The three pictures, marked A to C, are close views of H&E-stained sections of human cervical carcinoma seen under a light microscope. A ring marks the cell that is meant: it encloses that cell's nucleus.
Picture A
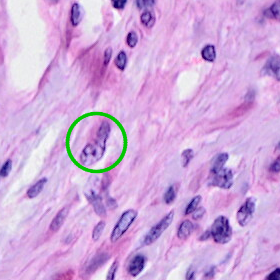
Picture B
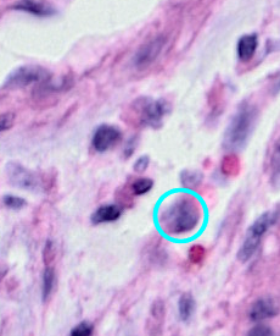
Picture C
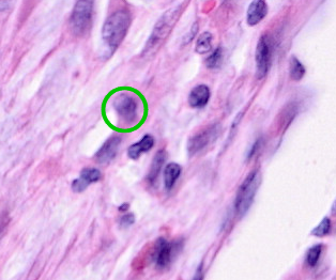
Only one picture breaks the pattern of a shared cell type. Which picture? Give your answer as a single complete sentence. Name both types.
Picture B differs, because its cell is an endothelial cell and the rest are “macrophages or monocytes”.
